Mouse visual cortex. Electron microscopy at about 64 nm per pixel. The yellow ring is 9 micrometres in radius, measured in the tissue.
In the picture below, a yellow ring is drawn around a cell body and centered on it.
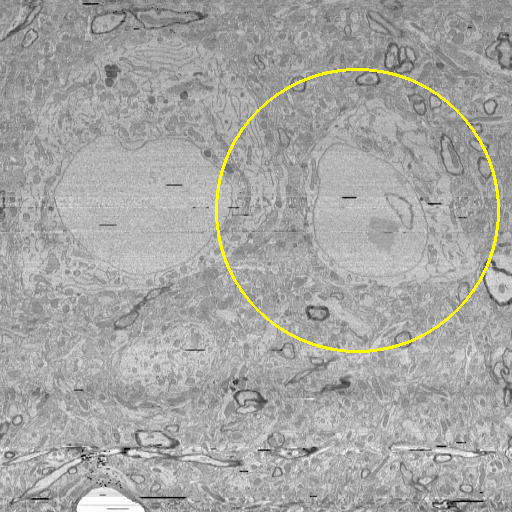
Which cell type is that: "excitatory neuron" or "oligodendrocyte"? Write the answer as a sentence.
The cell centered in the ring is an excitatory neuron.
